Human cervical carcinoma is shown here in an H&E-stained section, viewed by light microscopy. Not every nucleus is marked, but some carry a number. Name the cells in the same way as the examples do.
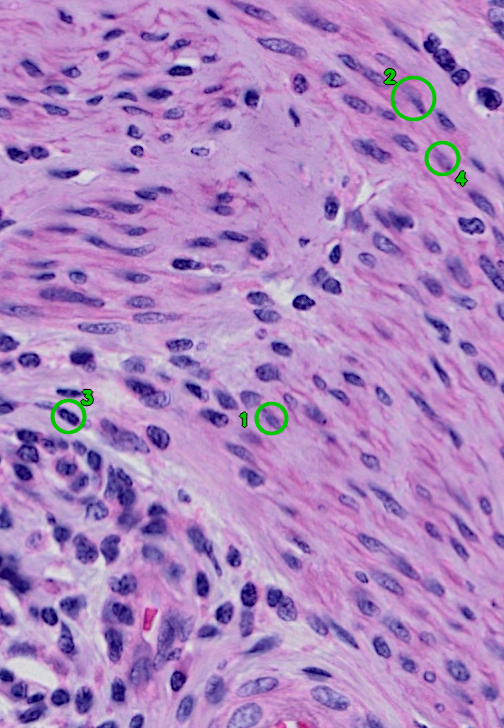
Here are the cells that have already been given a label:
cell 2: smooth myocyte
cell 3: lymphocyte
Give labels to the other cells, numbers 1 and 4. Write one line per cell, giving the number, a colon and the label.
1: smooth myocyte
4: smooth myocyte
